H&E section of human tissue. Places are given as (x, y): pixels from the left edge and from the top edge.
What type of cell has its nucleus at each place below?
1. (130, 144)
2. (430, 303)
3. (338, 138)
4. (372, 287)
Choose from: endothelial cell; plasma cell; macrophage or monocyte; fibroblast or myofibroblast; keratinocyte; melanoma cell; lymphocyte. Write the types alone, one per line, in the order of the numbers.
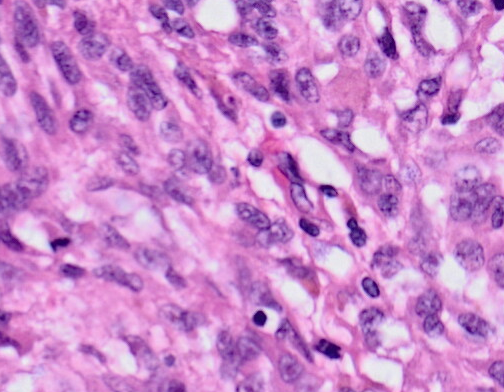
melanoma cell
melanoma cell
melanoma cell
lymphocyte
